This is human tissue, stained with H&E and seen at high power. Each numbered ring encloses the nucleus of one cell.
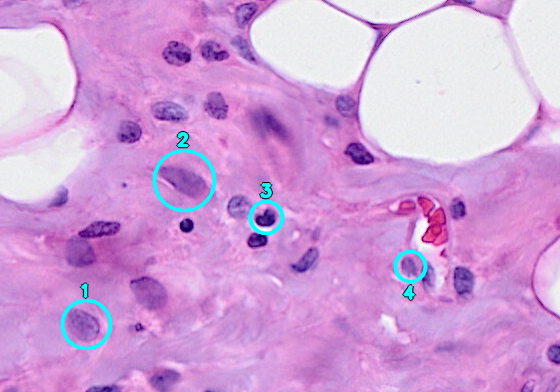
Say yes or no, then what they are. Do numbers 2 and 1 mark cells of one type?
Yes, cells 2 and 1 are both identified as fibroblasts.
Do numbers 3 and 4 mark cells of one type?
No, cell 3 is a lymphocyte and cell 4 is an endothelial cell.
